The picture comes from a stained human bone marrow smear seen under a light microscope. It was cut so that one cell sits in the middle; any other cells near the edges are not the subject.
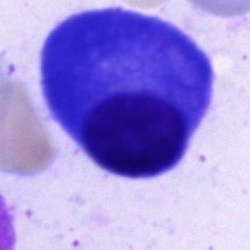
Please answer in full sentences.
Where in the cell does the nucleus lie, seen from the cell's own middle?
Toward the bottom of the cell lies its nucleus.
